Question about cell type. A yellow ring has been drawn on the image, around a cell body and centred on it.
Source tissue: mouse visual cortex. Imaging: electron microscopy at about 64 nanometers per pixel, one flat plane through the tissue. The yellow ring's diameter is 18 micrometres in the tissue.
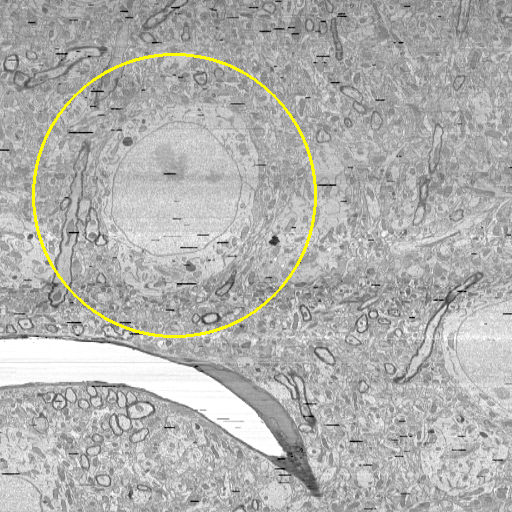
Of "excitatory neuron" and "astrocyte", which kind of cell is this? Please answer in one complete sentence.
At the centre of the ring lies an excitatory neuron.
